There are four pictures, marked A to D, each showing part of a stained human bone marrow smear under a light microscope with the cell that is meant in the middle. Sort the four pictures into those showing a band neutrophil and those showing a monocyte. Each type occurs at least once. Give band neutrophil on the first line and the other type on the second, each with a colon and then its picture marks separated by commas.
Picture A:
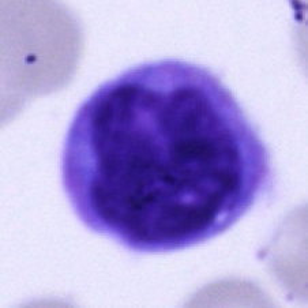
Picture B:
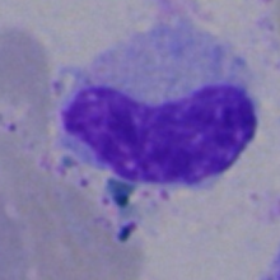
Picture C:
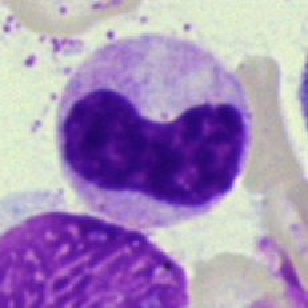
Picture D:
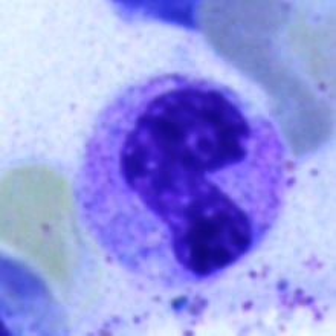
band neutrophil: B, C, D
monocyte: A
